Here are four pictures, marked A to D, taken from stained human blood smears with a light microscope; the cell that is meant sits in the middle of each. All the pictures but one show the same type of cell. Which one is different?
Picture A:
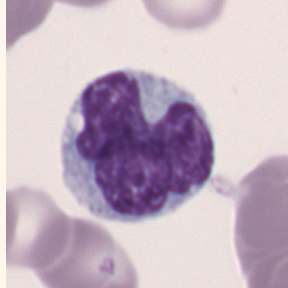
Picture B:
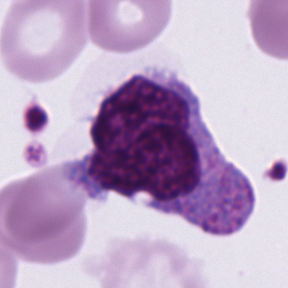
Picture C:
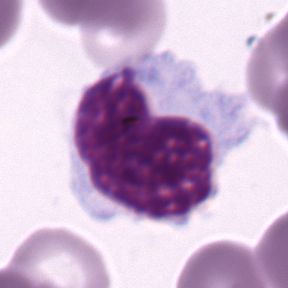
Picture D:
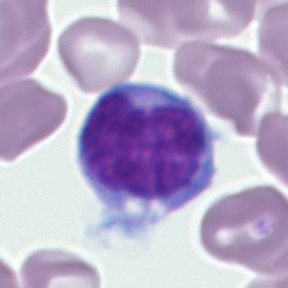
C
